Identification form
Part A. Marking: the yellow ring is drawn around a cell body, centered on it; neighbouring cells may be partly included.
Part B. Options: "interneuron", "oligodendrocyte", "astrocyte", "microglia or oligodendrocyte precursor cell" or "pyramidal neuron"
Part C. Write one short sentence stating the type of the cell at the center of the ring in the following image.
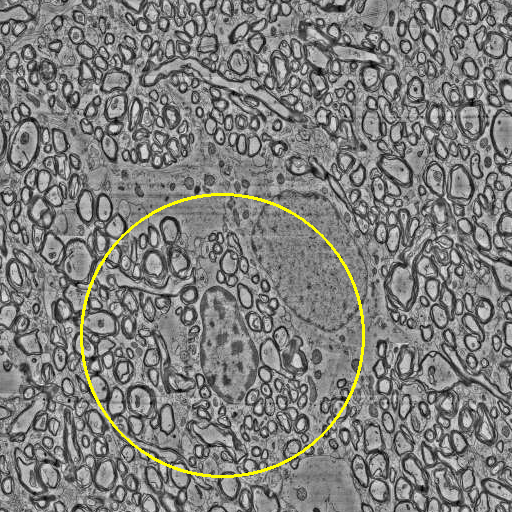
The center of the ring holds a microglial cell or oligodendrocyte precursor cell.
